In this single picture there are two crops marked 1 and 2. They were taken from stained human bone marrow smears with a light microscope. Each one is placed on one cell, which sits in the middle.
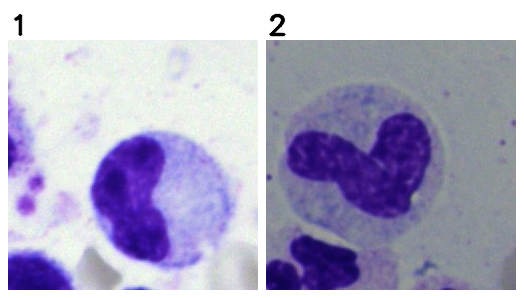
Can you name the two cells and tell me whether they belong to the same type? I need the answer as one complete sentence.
Yes, band neutrophils lie at the centre of both crops.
